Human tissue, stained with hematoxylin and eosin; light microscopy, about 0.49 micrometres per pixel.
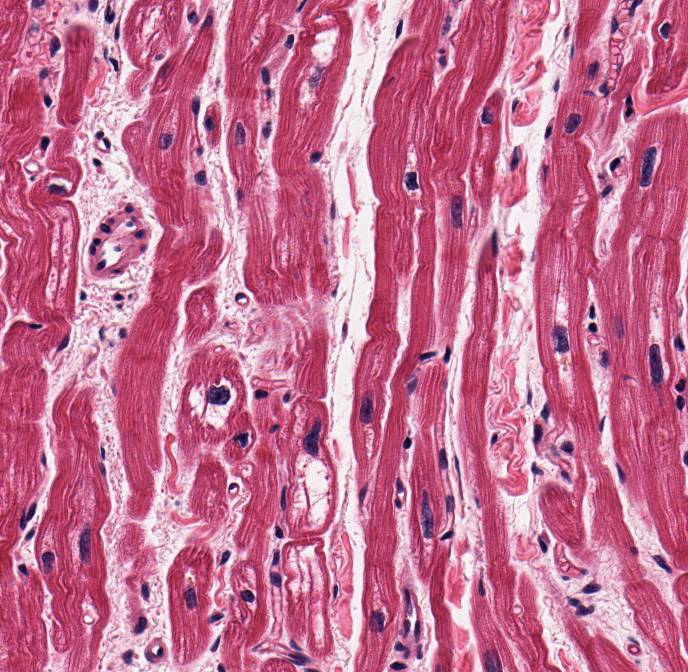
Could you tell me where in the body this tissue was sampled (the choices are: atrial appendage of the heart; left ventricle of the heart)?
atrial appendage of the heart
